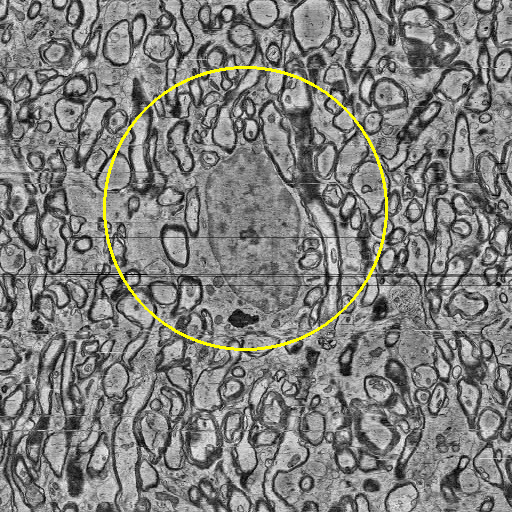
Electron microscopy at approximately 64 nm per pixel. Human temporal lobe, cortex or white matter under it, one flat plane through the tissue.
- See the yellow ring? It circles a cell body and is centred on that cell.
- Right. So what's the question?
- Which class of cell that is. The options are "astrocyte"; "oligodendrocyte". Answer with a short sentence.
The centre of the ring holds an oligodendrocyte.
